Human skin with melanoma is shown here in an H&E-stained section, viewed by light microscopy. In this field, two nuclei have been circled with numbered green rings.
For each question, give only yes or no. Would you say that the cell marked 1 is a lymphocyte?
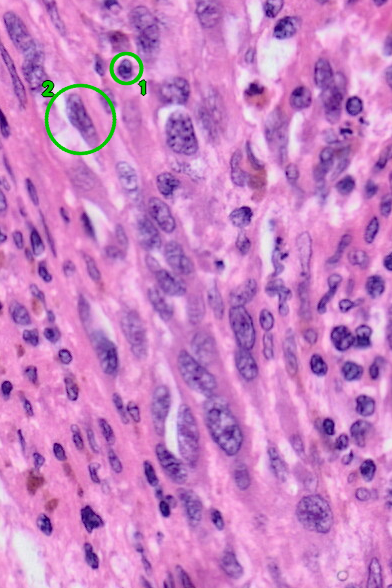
yes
